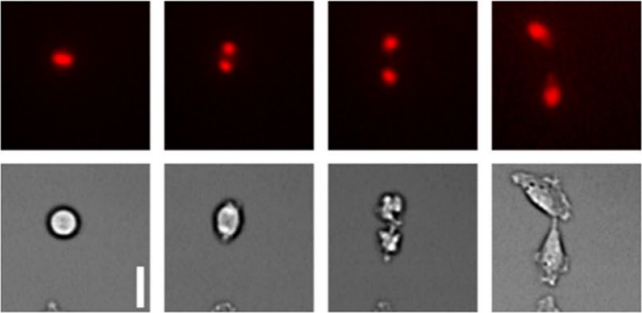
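This is a time series of a single cultured cell dividing into two daughter cells. At first the cell is small and round with a dark refractile rim and a single compact red fluorescent spot. Next the cell is slightly elongated and the red spot has split into two closely apposed spots. The two halves then separate into two small irregular cells, each with its own red spot. In the last frame the two daughter cells have flattened and spread on the surface with pointed extensions, their red spots well apart.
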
